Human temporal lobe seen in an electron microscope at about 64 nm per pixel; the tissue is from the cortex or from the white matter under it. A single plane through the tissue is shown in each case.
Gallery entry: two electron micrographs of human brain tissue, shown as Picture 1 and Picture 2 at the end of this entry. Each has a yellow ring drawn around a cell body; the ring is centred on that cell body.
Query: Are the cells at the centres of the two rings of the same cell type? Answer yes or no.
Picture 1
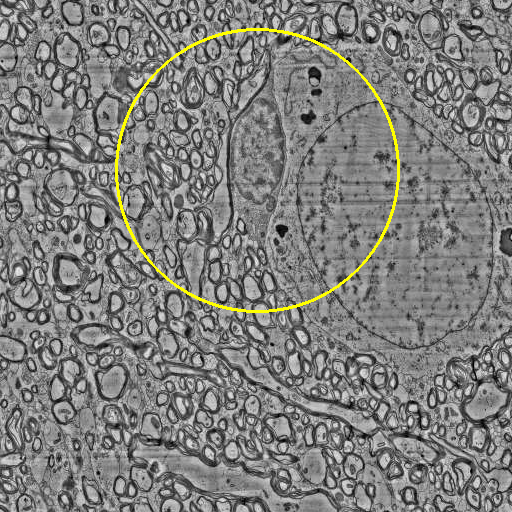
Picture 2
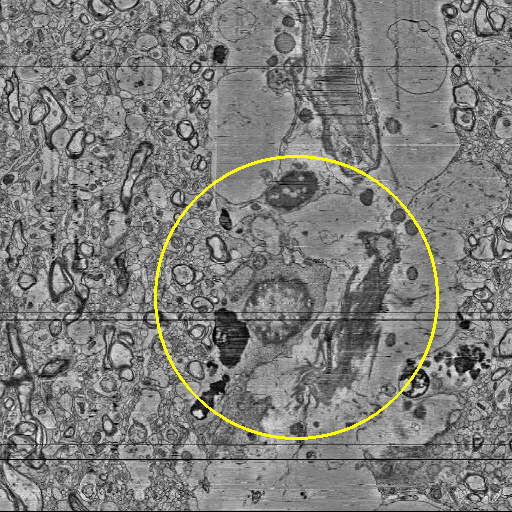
yes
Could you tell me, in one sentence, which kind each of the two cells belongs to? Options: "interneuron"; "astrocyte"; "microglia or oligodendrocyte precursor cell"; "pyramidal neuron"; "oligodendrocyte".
The second cell is an oligodendrocyte, just as the first is.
